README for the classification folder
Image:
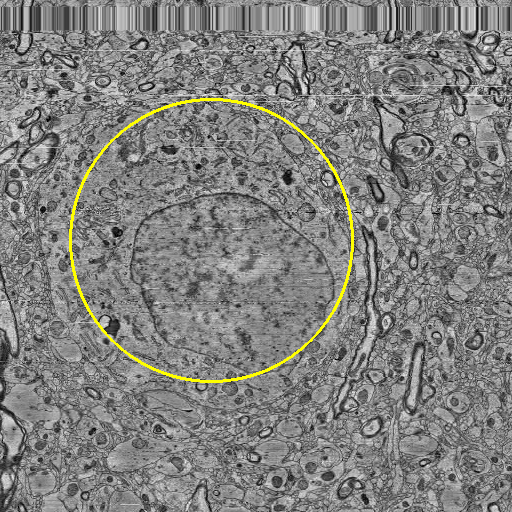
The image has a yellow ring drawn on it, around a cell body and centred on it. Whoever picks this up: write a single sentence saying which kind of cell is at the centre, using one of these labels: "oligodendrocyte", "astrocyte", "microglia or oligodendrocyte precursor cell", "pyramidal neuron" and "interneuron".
This cell body is that of a pyramidal neuron.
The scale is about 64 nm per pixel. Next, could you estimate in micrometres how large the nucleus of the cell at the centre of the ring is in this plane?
The nucleus comes to roughly 14 by 11 micrometres in this plane.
